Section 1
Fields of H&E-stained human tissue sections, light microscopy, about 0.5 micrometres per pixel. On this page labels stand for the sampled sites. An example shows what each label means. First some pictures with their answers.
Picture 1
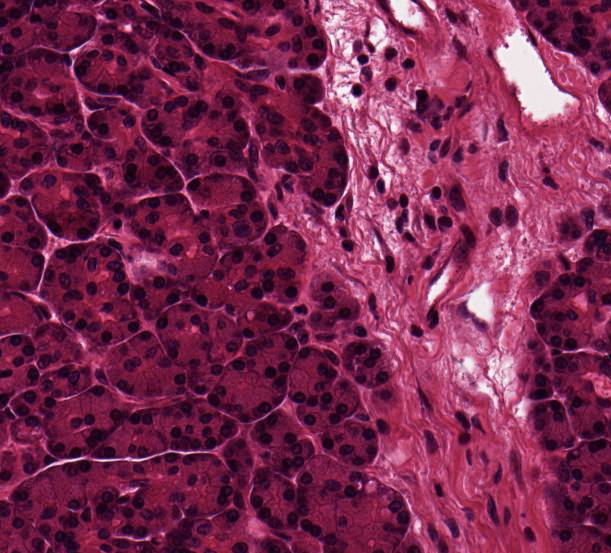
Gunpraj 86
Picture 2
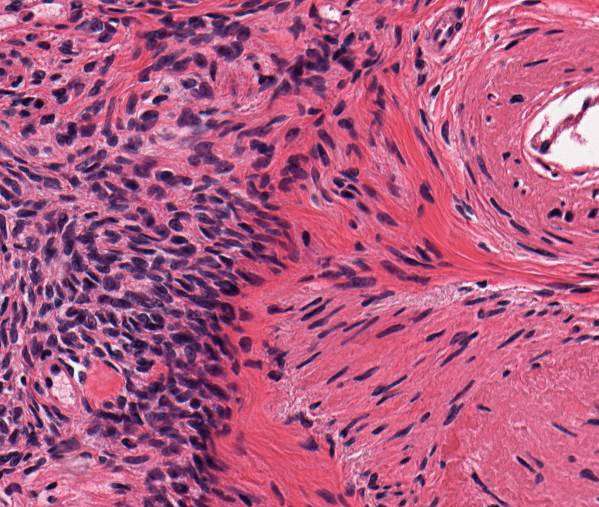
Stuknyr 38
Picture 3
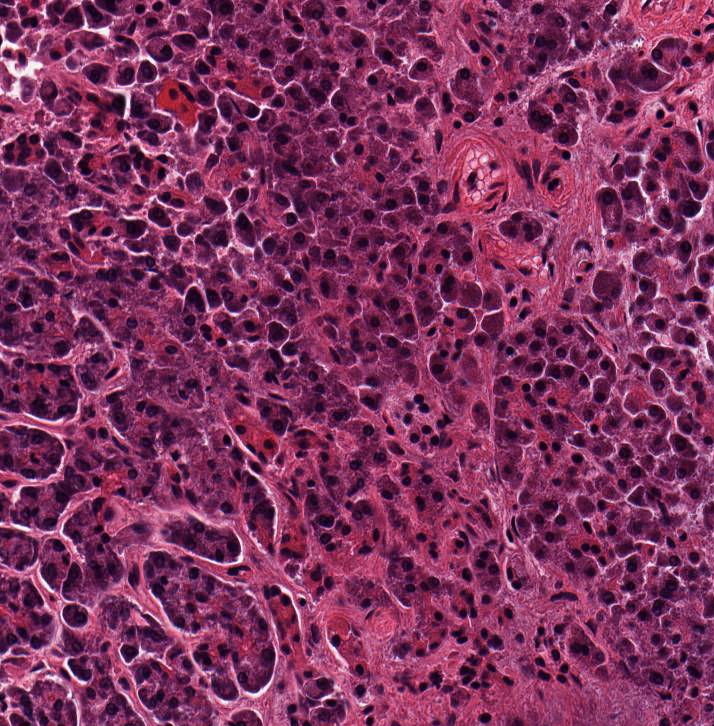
Gunpraj 86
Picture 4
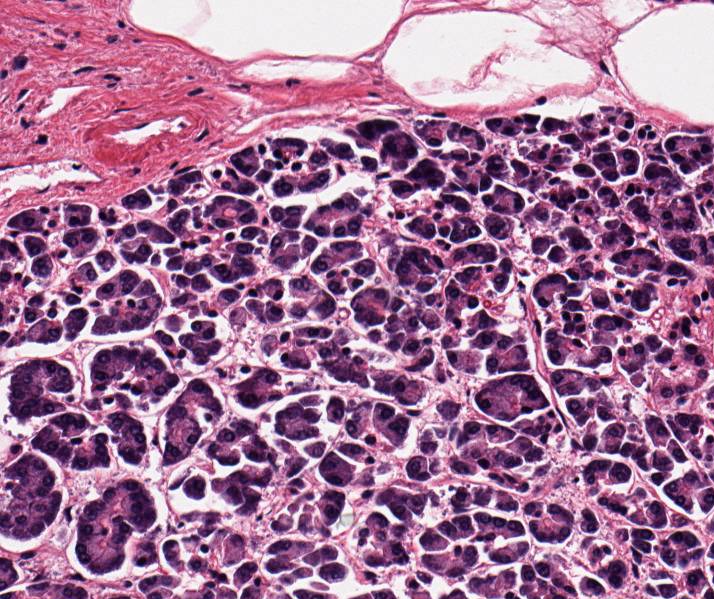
Gunpraj 86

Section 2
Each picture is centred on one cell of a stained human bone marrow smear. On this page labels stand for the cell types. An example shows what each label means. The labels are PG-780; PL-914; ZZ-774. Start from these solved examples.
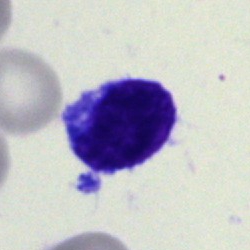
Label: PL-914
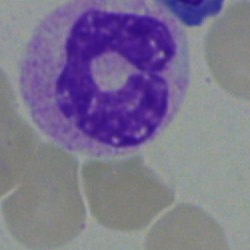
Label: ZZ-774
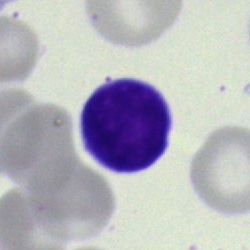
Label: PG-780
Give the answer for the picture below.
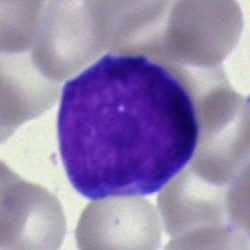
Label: PL-914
